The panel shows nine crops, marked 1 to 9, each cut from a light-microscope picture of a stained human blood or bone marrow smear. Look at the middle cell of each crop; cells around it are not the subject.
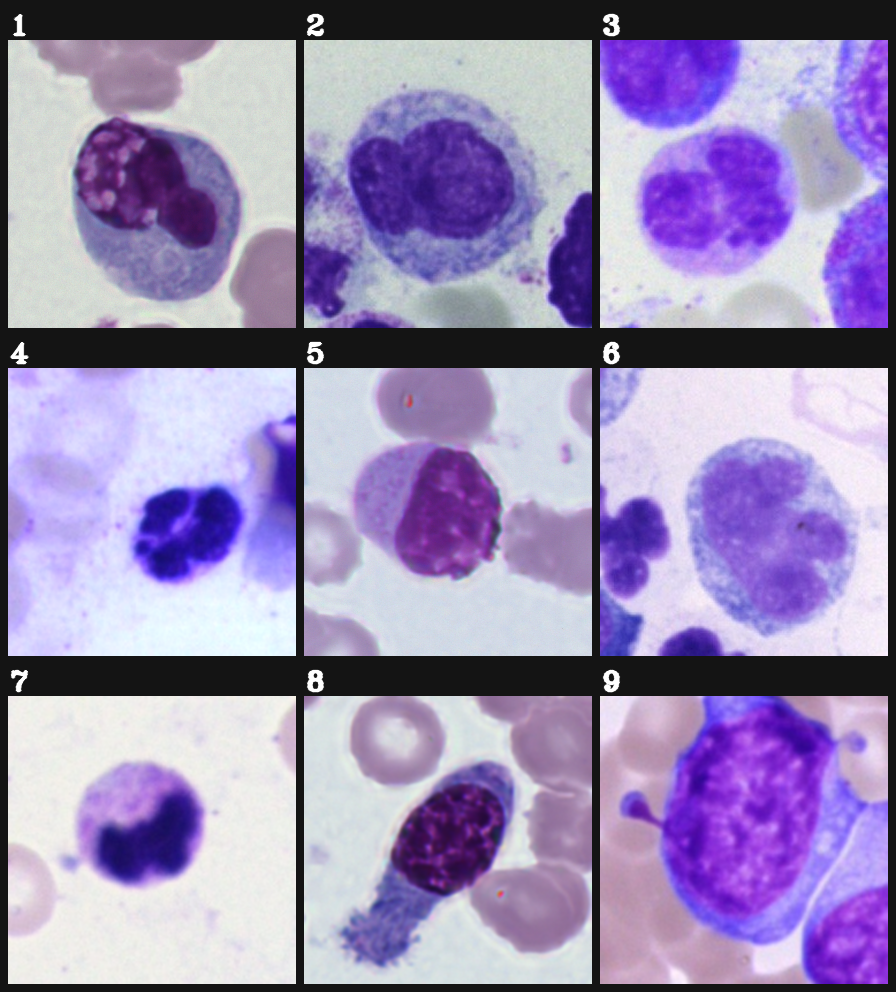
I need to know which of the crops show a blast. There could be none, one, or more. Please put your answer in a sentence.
The one crop that shows a blast is crop 9.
